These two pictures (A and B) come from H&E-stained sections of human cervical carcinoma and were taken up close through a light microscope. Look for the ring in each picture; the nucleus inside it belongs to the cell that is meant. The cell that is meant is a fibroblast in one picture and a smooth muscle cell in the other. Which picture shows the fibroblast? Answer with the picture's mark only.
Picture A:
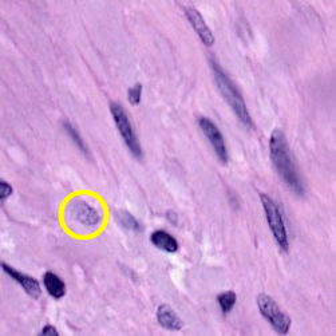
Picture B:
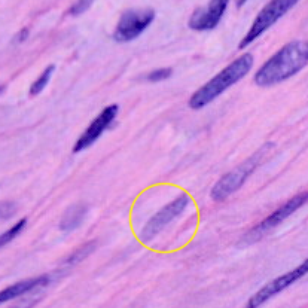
A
